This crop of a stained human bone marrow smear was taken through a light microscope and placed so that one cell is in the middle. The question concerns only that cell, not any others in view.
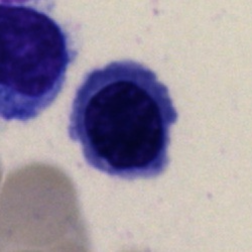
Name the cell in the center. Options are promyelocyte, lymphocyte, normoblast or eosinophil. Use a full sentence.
In the center of this field lies a normoblast.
